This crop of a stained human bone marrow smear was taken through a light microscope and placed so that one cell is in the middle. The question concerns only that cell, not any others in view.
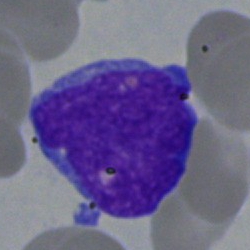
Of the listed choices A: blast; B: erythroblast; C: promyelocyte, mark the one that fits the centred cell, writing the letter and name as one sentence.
Option A is correct in that the central cell is a blast.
